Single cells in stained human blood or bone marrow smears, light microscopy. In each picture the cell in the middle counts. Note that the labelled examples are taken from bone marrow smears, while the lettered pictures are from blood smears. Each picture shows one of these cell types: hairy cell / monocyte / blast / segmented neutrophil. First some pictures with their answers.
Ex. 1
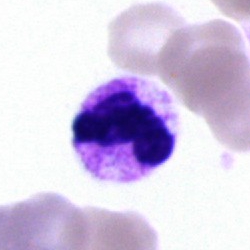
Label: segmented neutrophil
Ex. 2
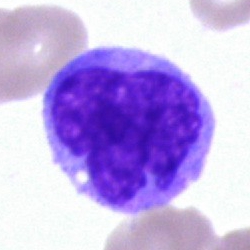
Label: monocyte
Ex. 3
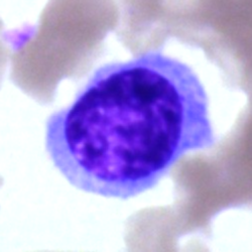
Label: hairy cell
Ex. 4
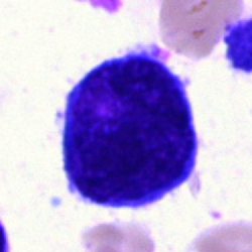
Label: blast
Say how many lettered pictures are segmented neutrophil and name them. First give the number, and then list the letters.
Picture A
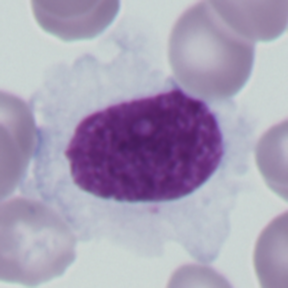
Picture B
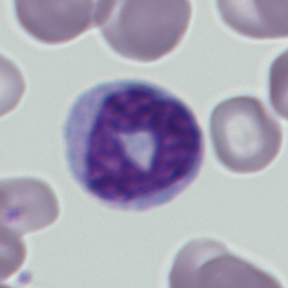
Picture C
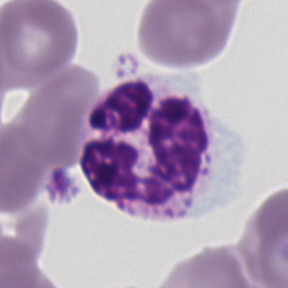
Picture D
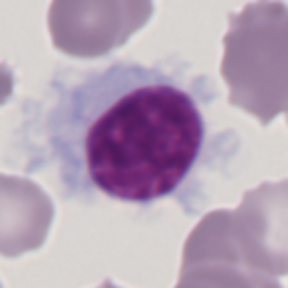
Count: 1 (C)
